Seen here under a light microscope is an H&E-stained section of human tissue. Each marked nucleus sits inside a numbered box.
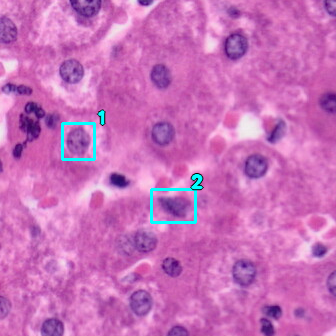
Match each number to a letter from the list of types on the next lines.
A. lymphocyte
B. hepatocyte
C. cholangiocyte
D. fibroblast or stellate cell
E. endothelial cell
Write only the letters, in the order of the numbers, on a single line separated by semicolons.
B; E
